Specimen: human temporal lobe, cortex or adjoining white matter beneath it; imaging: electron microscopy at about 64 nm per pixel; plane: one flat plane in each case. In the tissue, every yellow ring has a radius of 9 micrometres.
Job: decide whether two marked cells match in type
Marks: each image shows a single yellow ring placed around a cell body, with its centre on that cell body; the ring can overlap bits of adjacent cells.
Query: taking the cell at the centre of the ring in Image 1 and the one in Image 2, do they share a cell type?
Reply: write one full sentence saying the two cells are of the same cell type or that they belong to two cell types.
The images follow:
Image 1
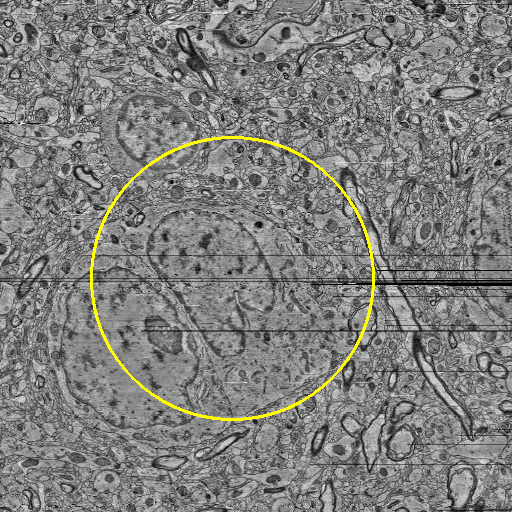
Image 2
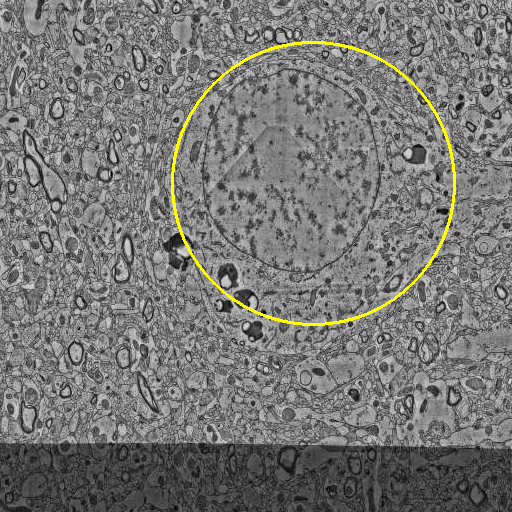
The cells at the ring centres in Image 1 and Image 2 belong to two cell types.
